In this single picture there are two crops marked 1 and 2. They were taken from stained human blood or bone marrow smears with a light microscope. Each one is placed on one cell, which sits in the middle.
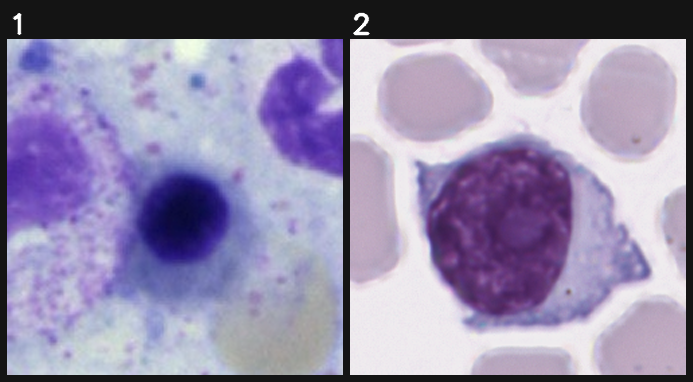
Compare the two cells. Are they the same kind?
no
